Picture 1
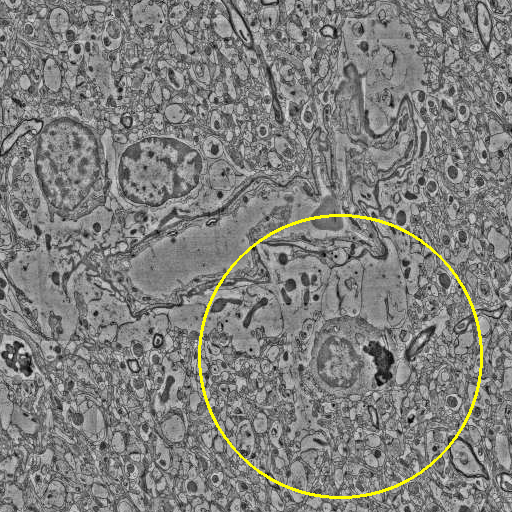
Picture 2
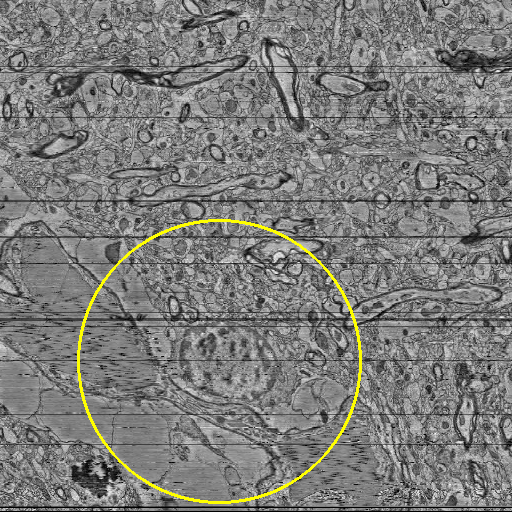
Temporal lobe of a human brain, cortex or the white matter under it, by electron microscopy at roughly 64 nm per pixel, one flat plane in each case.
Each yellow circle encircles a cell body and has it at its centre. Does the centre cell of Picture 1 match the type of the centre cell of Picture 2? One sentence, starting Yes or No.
Yes, the cell centred in Picture 1 and the one in Picture 2 share a type.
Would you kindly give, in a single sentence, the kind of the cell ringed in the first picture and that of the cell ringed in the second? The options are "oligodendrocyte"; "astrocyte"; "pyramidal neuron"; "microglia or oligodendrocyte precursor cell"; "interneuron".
The first and the second cell are each an oligodendrocyte.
